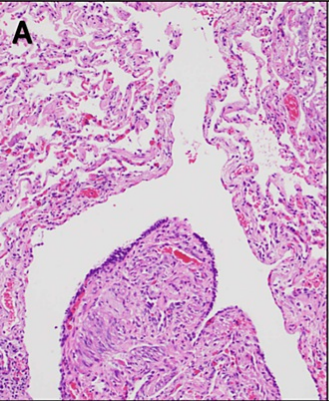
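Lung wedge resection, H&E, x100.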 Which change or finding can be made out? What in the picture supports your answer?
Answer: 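A dense rounded nodule bulges into the empty space. The nodule is made of elongated cells with spindle-shaped nuclei in disordered bundles. On this evidence: nodular proliferation of bland spindle cells.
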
